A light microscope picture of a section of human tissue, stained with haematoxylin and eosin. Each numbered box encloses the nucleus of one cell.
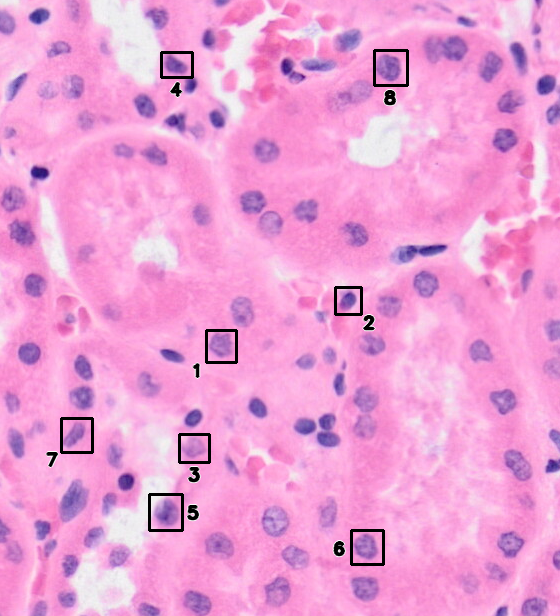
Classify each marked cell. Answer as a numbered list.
1. proximal tubule cell
2. endothelial cell
3. loop of Henle or distal tubule cell
4. loop of Henle or distal tubule cell
5. loop of Henle or distal tubule cell
6. proximal tubule cell
7. loop of Henle or distal tubule cell
8. proximal tubule cell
